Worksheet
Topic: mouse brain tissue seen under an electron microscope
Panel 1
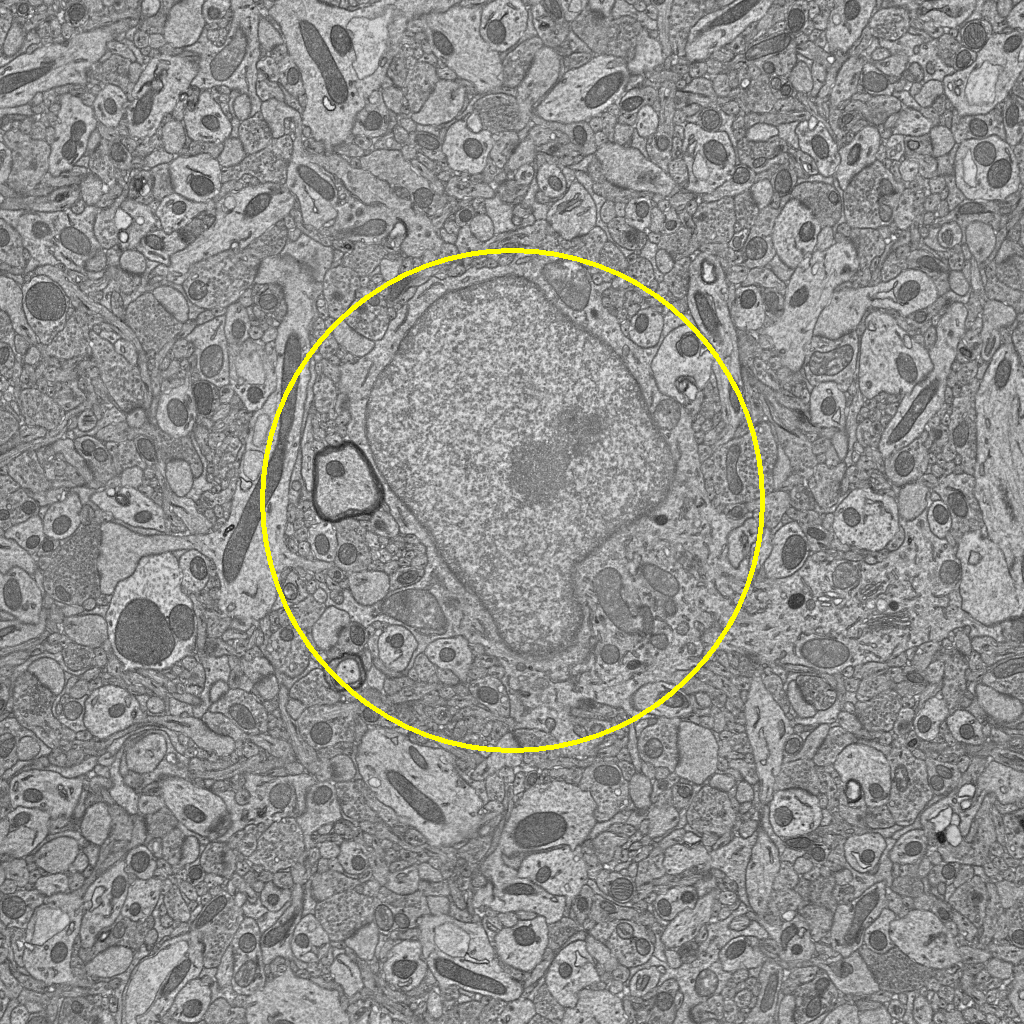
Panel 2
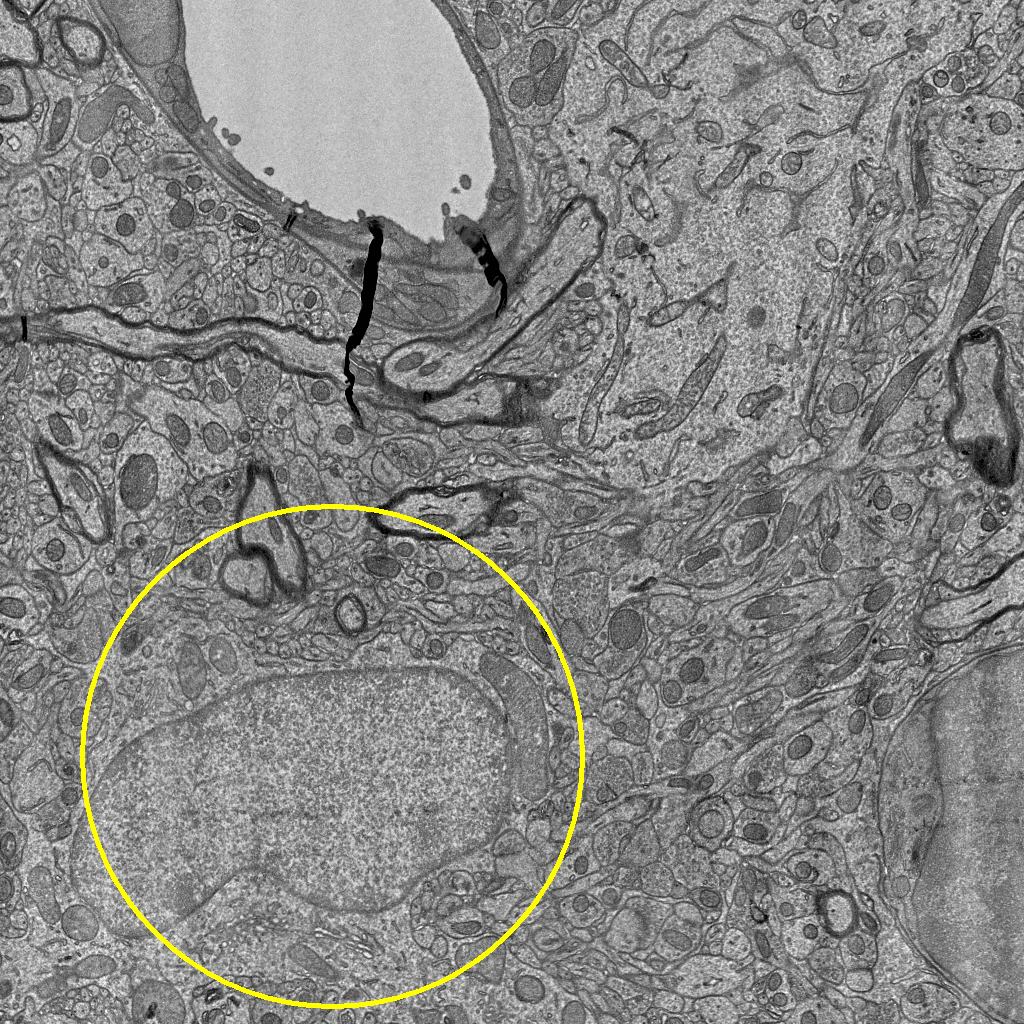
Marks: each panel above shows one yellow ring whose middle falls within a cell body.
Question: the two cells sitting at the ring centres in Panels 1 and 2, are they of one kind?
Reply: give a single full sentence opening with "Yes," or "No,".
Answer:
Yes, the two cells at the ring centres in Panel 1 and Panel 2 are of one kind.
